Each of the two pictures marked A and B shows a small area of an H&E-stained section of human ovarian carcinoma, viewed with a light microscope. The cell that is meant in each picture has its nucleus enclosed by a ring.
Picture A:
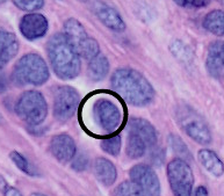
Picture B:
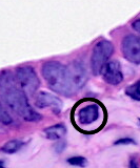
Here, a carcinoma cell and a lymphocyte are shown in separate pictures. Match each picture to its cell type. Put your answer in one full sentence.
It is picture A that shows a carcinoma cell, and picture B that shows a lymphocyte.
